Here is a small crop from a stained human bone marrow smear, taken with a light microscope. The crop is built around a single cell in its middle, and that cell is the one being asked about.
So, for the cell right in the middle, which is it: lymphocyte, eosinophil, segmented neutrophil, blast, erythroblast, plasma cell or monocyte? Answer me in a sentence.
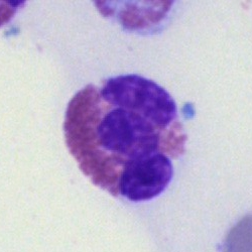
Among the cells in view, the one in the middle is an eosinophil.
